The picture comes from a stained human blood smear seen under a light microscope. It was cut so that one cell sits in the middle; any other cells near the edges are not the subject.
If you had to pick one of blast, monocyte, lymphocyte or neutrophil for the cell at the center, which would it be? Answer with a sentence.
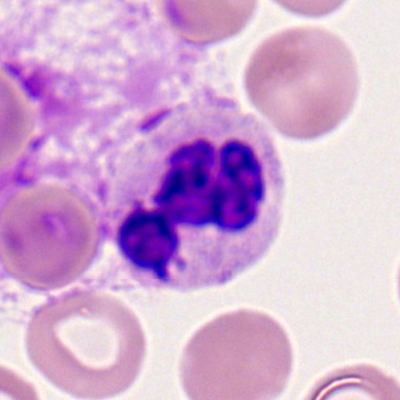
The cell featured at the centre of this crop is a neutrophil.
